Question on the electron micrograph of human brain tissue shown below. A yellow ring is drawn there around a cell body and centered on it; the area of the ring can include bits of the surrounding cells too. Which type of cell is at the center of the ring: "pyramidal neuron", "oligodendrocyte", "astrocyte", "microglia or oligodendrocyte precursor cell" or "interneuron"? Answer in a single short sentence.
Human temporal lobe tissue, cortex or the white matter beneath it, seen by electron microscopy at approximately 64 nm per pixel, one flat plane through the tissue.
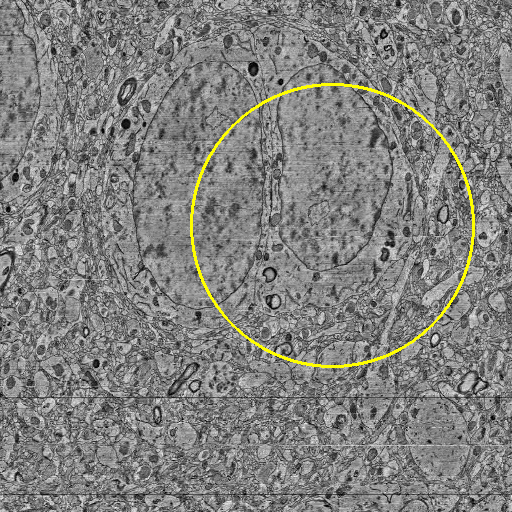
The ring is centered on a pyramidal neuron.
